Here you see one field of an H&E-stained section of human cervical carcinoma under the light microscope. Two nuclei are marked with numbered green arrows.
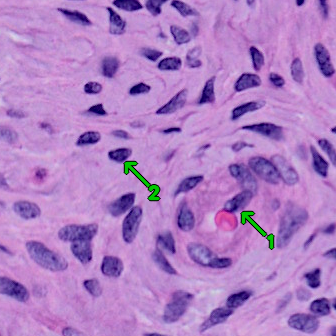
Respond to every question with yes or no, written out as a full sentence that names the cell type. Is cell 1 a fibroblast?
No, it is an endothelial cell, not a fibroblast, that number 1 marks.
